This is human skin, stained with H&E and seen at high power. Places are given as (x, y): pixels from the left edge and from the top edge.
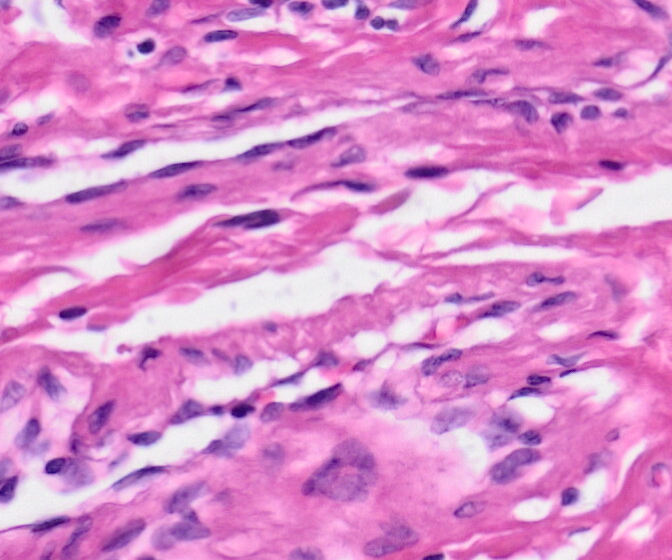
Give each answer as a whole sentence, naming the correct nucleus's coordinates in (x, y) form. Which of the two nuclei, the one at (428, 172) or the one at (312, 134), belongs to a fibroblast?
The nucleus situated at (428, 172) is the one belonging to a fibroblast.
